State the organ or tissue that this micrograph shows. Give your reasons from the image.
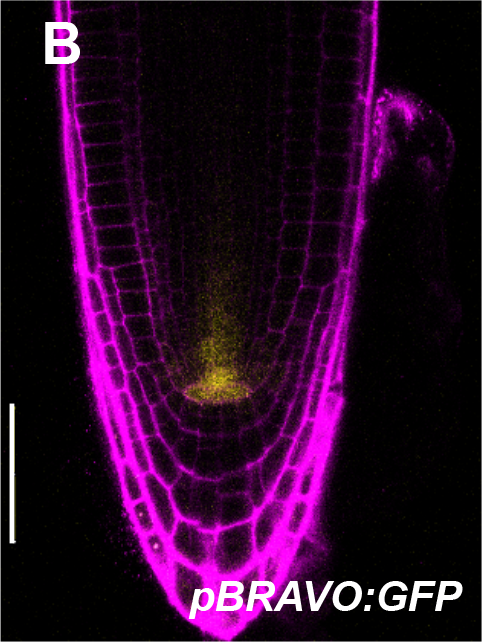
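A tapering tip with cells in parallel longitudinal files. Cell walls outlined in magenta. A cap of larger cells covers the tip. That points to this answer: roots.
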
